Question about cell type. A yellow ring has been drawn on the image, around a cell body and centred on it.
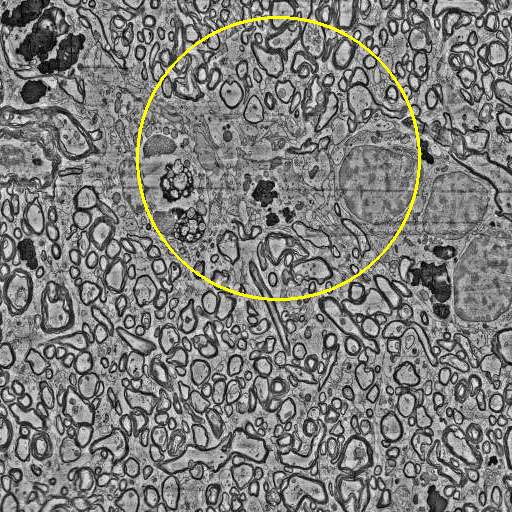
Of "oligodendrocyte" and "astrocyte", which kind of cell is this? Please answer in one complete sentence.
At the centre of the ring lies an oligodendrocyte.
